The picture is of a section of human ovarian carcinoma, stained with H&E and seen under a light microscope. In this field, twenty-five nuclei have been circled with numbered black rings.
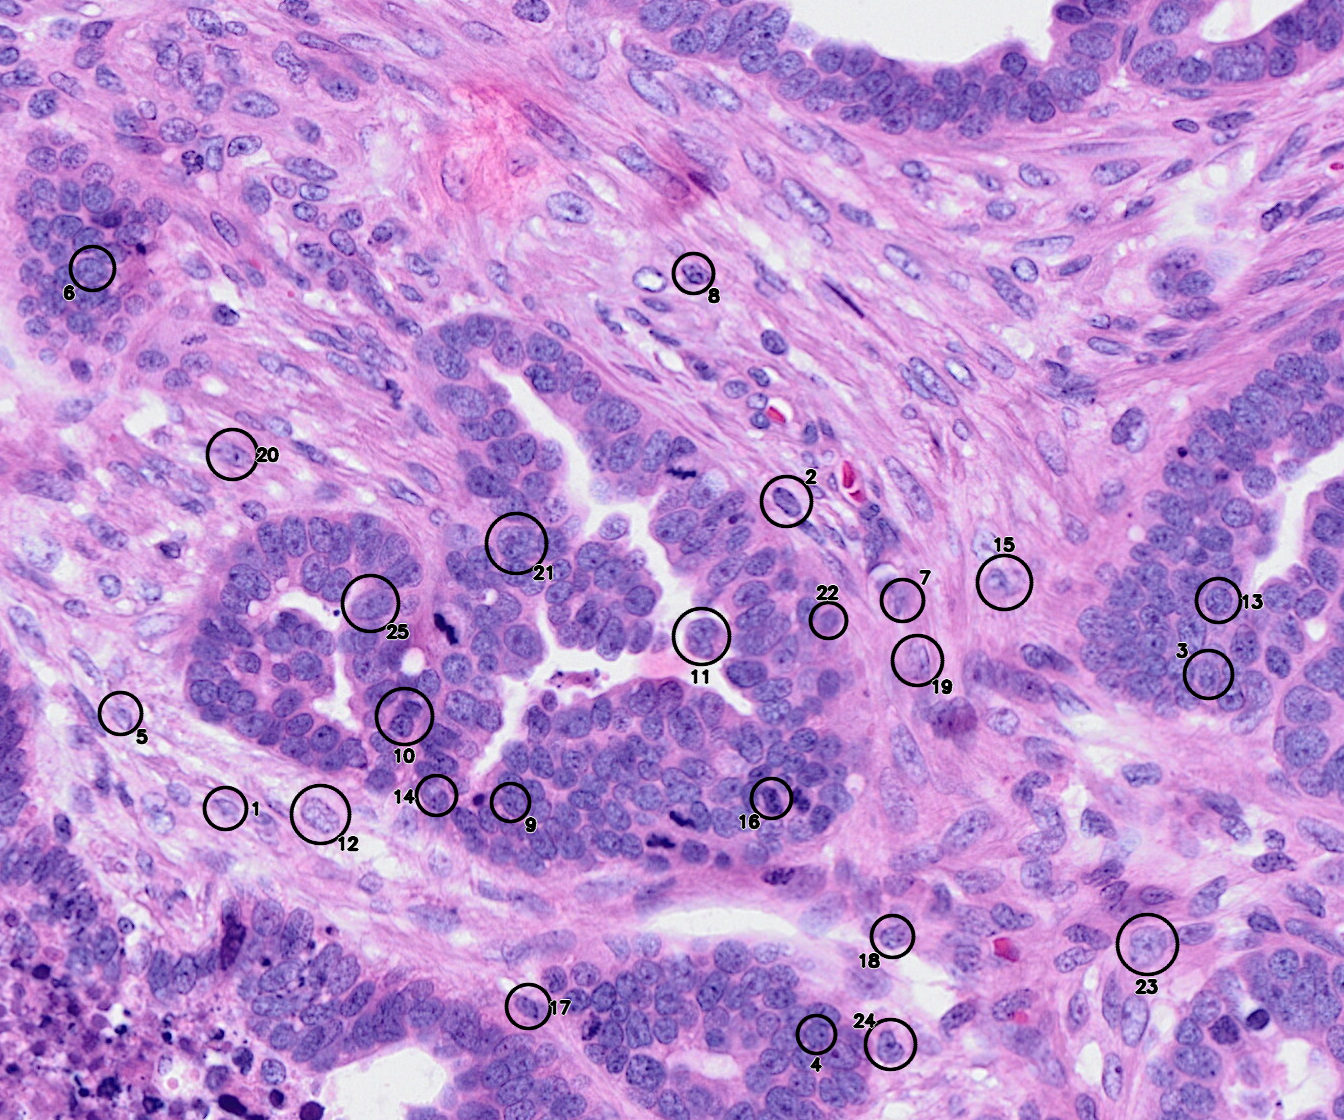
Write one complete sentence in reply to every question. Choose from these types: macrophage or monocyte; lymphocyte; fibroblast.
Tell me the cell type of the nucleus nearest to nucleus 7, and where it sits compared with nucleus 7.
The closest nucleus belongs to a macrophage or monocyte and sits above and to the left of nucleus 7.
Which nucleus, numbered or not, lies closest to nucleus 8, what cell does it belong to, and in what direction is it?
A fibroblast lies closest, above and to the left of nucleus 8.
